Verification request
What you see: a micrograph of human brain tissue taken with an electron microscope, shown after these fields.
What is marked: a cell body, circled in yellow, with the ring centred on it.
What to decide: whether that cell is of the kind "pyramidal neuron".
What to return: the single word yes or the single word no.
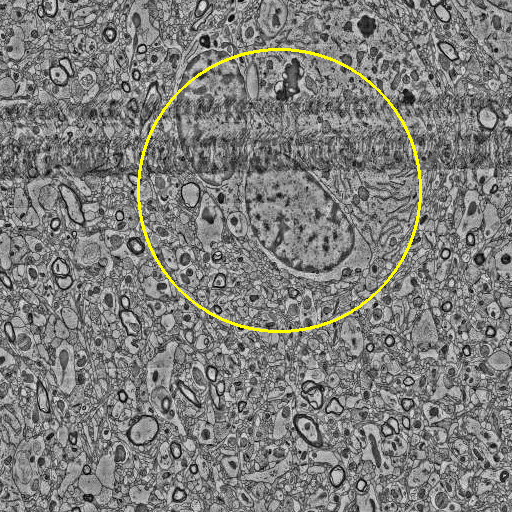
no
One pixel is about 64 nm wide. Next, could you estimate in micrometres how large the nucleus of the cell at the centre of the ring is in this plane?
The ringed cell's nucleus is roughly 8 by 5 micrometres and clearly longer than it is wide in this plane.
